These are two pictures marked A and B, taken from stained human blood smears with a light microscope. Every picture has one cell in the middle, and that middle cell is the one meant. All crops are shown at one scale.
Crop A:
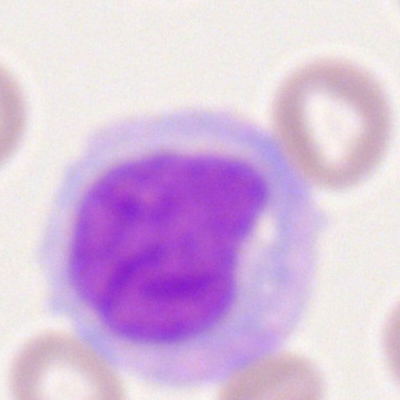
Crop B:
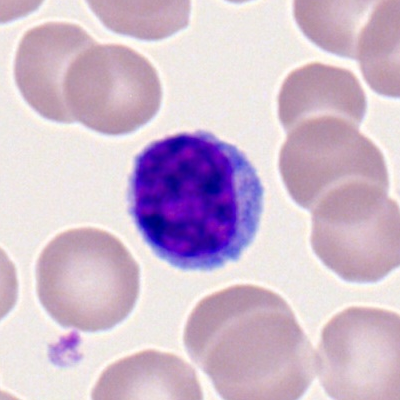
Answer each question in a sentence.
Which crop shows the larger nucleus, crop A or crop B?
It is the nucleus in crop A, about 3 times as large in area as the one in crop B.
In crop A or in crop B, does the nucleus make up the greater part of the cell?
In crop B the nucleus takes up the larger part of its cell.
